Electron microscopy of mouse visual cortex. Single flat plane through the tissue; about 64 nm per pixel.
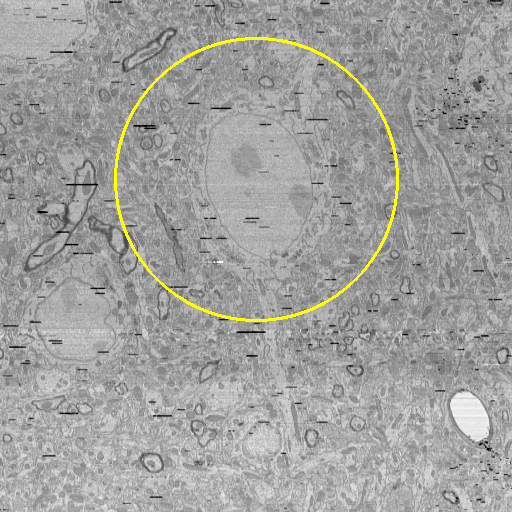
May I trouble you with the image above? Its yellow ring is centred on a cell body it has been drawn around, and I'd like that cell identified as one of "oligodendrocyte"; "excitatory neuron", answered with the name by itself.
excitatory neuron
